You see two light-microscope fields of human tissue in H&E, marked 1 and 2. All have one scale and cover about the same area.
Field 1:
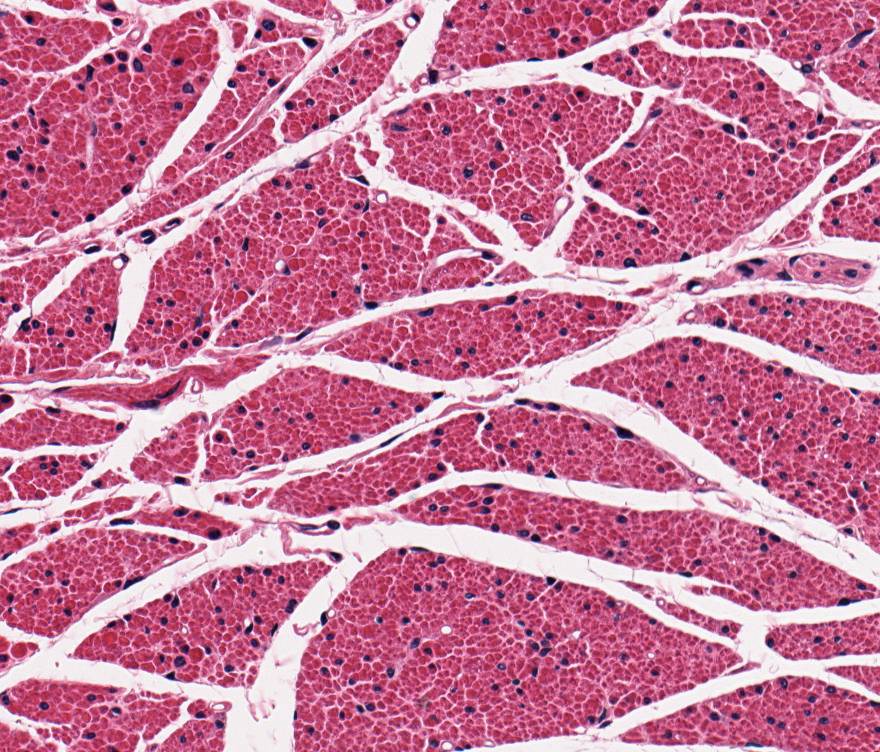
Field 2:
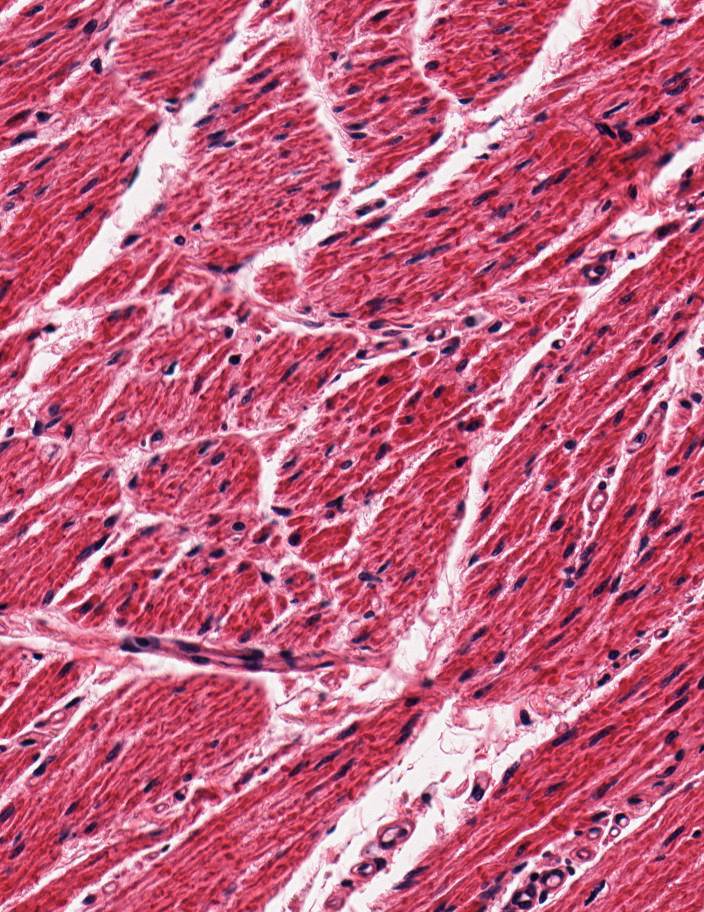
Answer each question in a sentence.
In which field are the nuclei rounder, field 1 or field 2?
Rounder nuclei lie in field 1.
